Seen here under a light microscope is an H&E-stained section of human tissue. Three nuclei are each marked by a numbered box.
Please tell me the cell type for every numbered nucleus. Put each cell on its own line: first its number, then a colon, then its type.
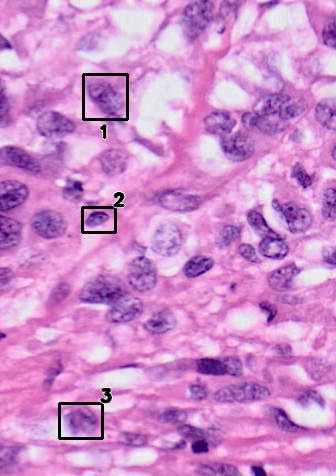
1: melanoma cell
2: lymphocyte
3: melanoma cell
